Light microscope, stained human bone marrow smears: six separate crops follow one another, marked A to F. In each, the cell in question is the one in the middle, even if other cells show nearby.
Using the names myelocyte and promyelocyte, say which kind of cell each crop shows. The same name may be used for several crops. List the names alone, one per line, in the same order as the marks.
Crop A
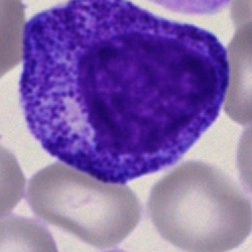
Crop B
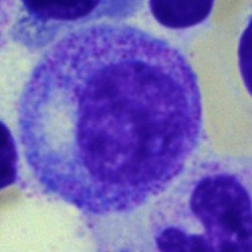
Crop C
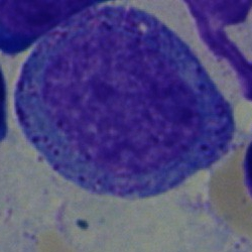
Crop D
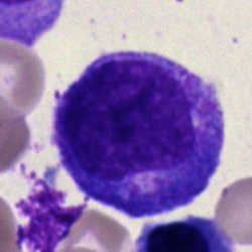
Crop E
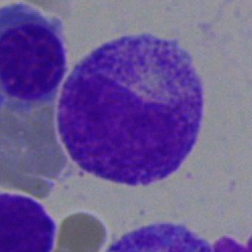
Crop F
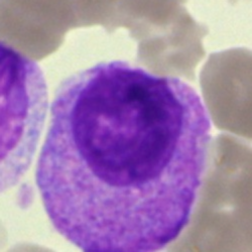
myelocyte
promyelocyte
promyelocyte
myelocyte
myelocyte
myelocyte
